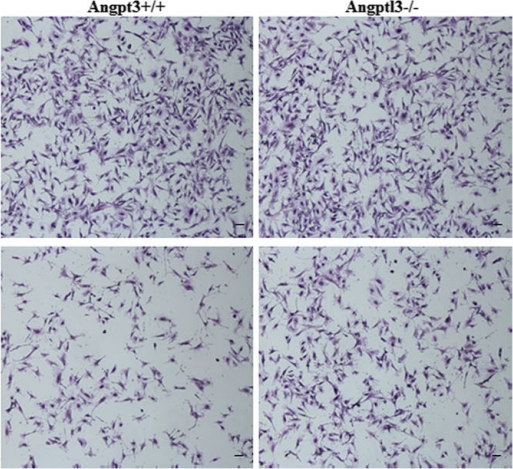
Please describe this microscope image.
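The cells are irregular, spindle-shaped or stellate, with thin processes reaching out from a central body, and are spread singly over the surface. In the lower row the cells are noticeably sparser than in the upper row.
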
